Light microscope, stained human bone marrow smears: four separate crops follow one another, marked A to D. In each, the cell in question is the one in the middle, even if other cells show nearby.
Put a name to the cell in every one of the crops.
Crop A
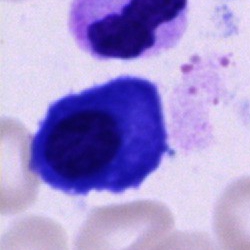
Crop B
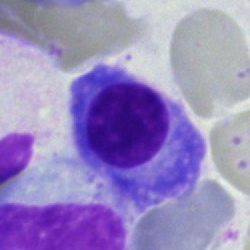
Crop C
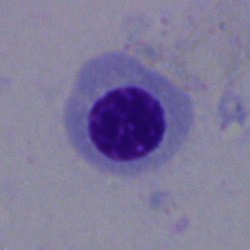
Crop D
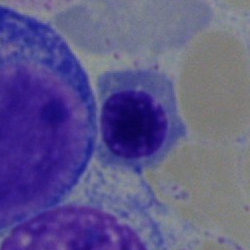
A: plasma cell
B: plasma cell
C: normoblast
D: normoblast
